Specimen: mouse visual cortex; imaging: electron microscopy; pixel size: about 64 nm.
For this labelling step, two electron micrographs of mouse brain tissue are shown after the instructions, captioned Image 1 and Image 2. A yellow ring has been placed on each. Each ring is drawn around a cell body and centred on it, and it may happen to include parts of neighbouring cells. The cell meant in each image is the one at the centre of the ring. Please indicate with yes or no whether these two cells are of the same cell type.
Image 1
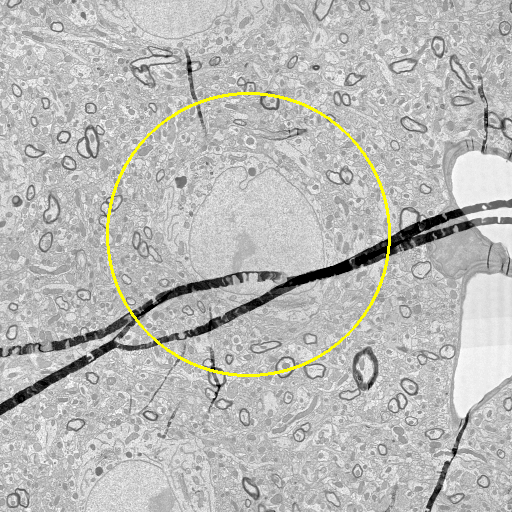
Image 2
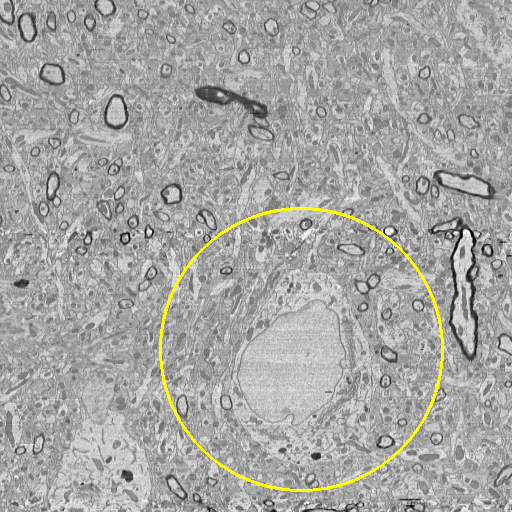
yes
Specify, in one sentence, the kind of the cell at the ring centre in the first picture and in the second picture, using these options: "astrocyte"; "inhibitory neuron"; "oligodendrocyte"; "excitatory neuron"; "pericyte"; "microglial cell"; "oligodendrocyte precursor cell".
The cell at the ring centre is an inhibitory neuron in both pictures.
